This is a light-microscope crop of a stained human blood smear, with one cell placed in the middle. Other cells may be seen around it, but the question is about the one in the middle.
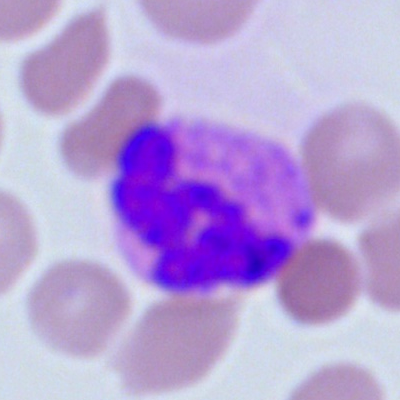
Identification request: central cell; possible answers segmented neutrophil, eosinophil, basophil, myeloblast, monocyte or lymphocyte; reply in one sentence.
In this smear crop, the middle cell is a basophil.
